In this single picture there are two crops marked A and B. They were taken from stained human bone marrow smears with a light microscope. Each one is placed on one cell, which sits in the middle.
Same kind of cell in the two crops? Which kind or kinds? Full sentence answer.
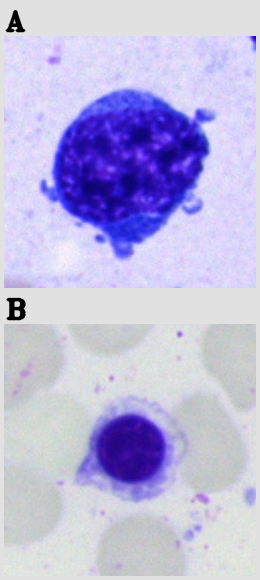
No, crop A is to be identified as a blast and crop B as an erythroblast.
